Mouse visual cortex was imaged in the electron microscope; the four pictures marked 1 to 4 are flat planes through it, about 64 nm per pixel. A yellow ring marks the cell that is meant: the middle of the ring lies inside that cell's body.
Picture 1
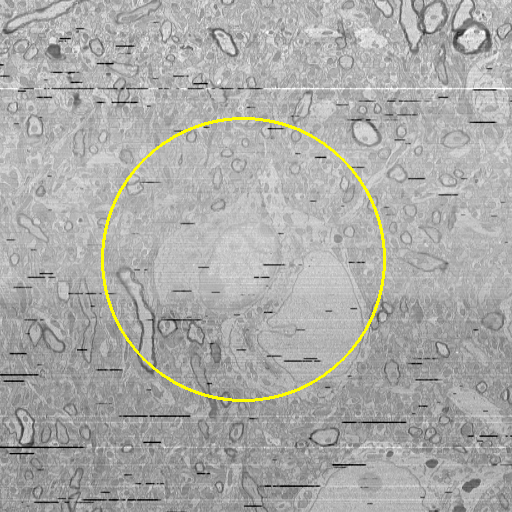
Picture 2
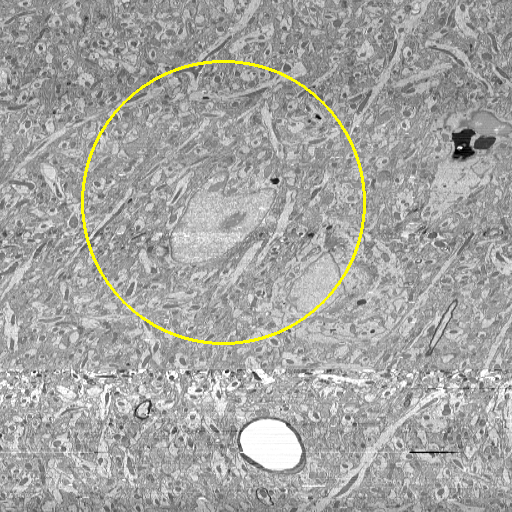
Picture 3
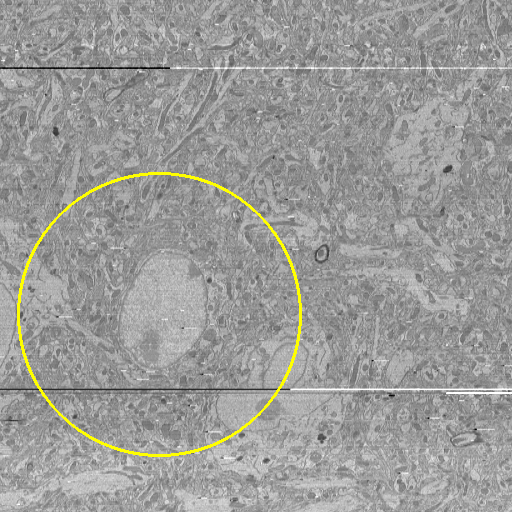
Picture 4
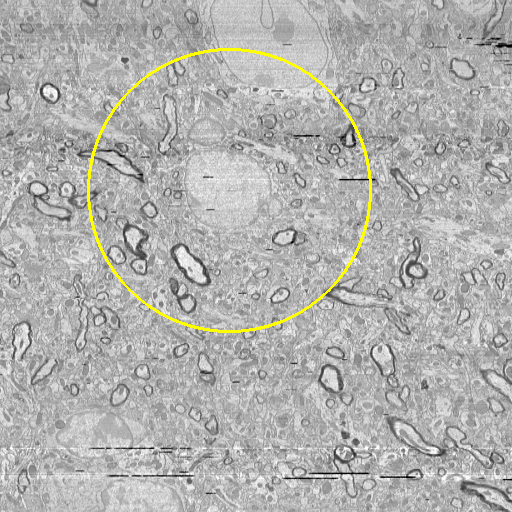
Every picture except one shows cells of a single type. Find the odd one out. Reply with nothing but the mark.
1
